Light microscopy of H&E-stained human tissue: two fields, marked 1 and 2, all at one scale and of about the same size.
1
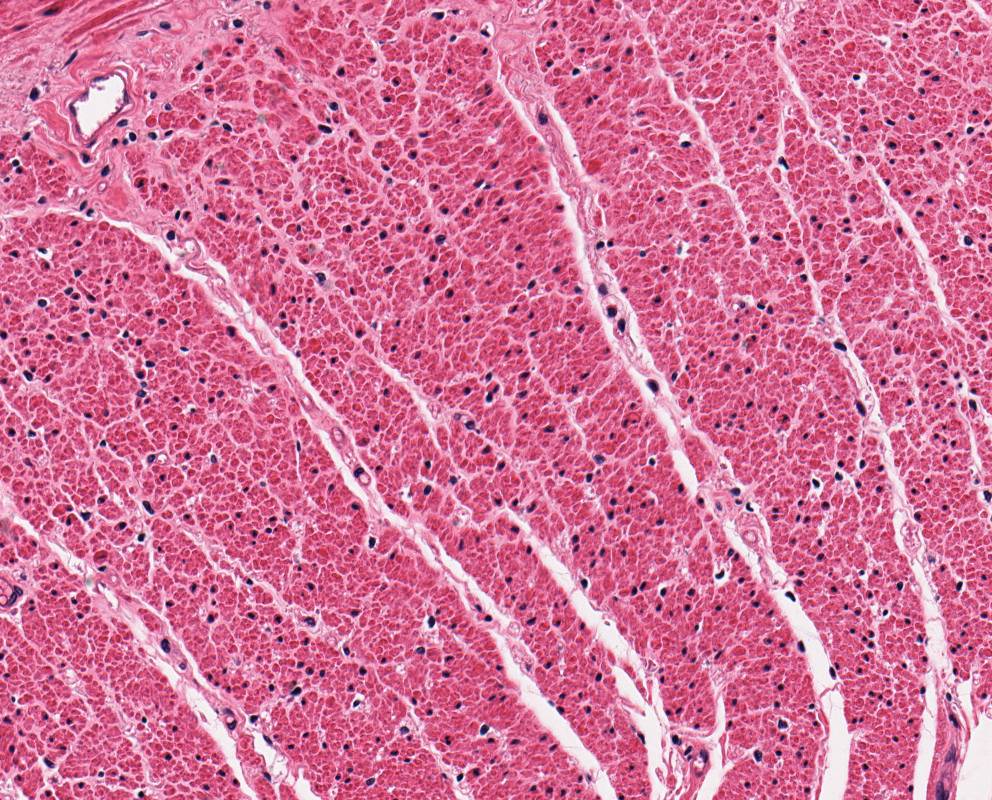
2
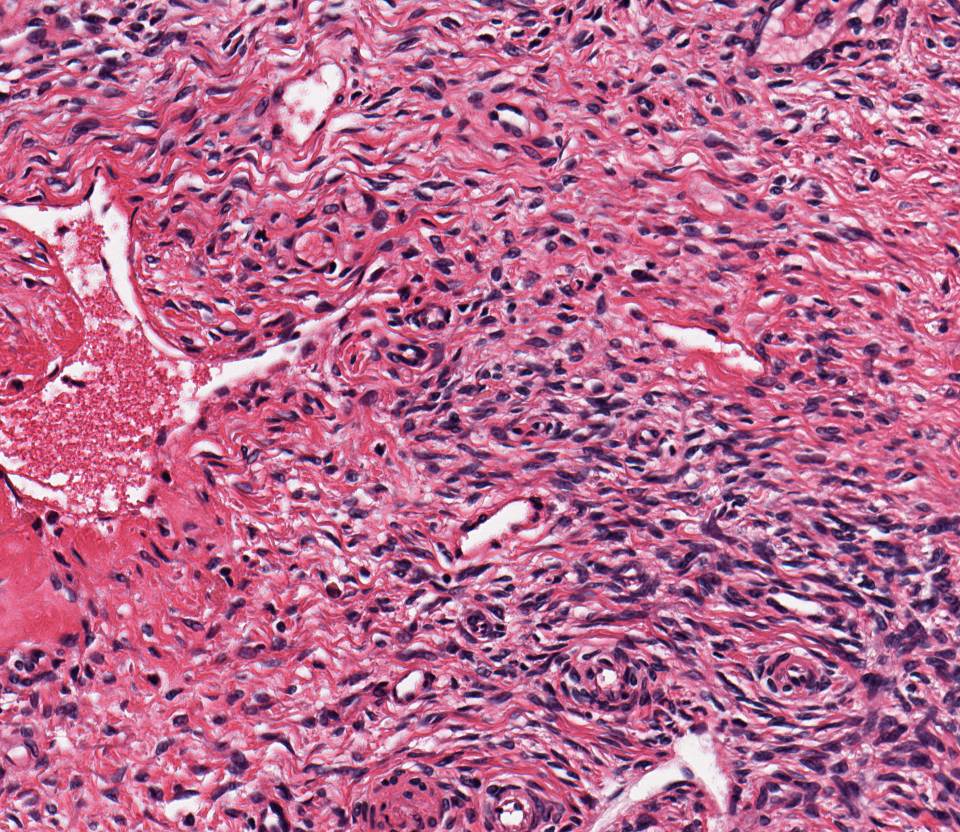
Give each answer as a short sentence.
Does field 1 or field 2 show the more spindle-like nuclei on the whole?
The nuclei are more elongated in field 2.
